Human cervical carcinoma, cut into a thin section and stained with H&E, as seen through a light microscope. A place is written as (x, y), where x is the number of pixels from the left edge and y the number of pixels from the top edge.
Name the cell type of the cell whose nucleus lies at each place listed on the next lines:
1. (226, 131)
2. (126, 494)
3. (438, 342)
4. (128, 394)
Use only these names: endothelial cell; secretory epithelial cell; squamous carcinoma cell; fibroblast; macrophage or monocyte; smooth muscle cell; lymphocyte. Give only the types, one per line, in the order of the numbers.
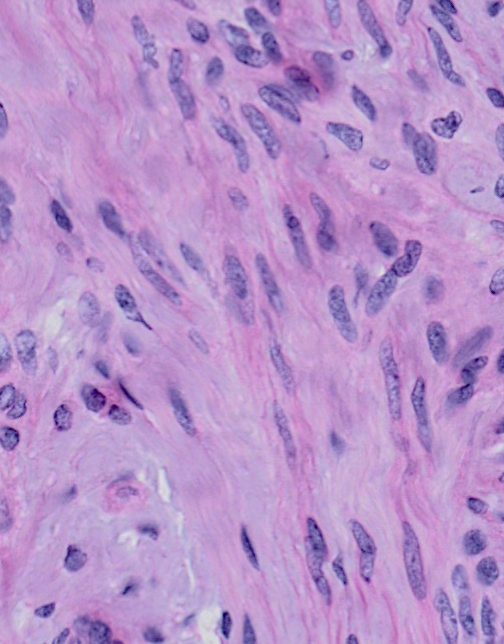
smooth muscle cell
endothelial cell
fibroblast
fibroblast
